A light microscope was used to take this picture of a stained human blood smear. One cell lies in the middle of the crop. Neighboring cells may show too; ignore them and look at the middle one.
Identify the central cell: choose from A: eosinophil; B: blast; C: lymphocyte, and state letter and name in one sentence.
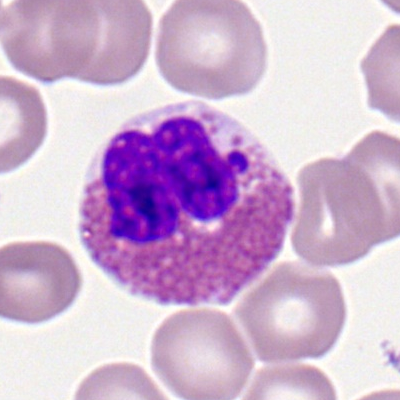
Of the choices given, option A is right, as the central cell is an eosinophil.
